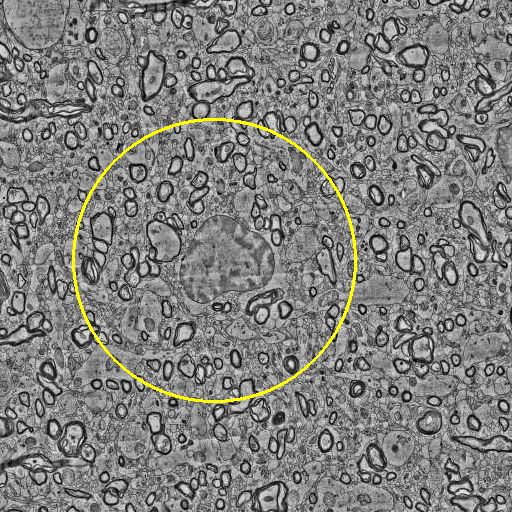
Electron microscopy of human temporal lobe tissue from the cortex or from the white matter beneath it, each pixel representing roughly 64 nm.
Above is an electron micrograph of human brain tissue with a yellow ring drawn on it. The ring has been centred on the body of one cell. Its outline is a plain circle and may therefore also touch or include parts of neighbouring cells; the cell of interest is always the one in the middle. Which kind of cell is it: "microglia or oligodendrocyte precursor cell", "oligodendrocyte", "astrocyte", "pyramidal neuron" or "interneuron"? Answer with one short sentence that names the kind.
The ring's central cell body is that of a microglial cell or oligodendrocyte precursor cell.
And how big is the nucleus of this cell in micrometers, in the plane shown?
Roughly 6 micrometers across in this plane.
